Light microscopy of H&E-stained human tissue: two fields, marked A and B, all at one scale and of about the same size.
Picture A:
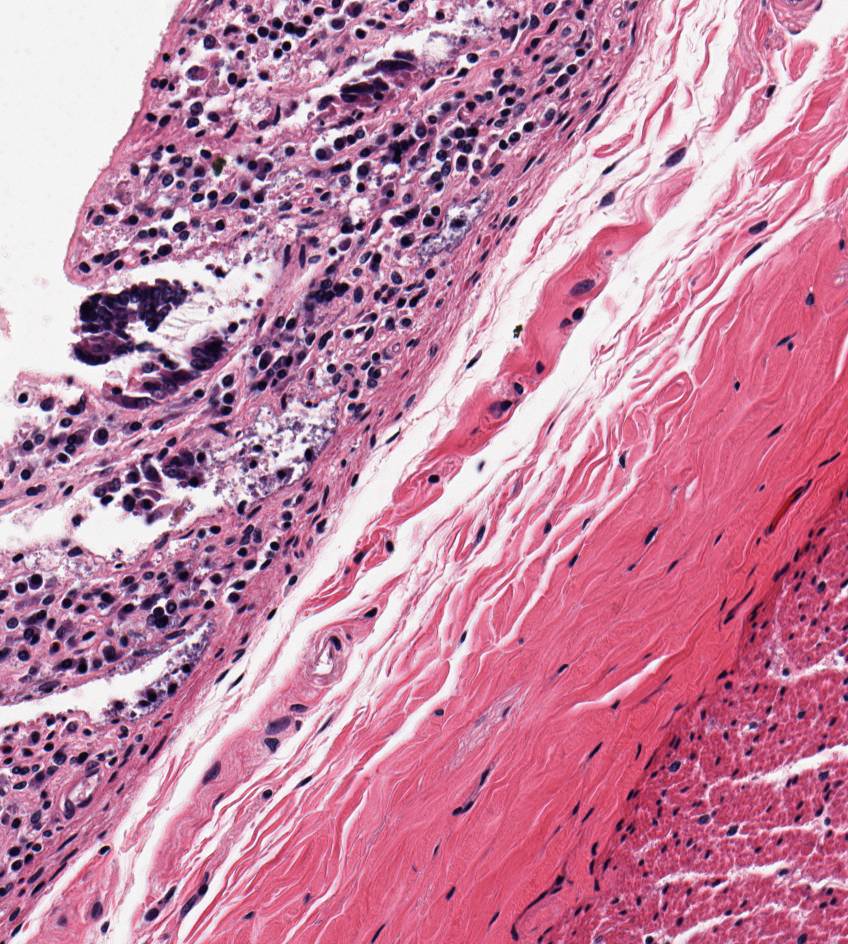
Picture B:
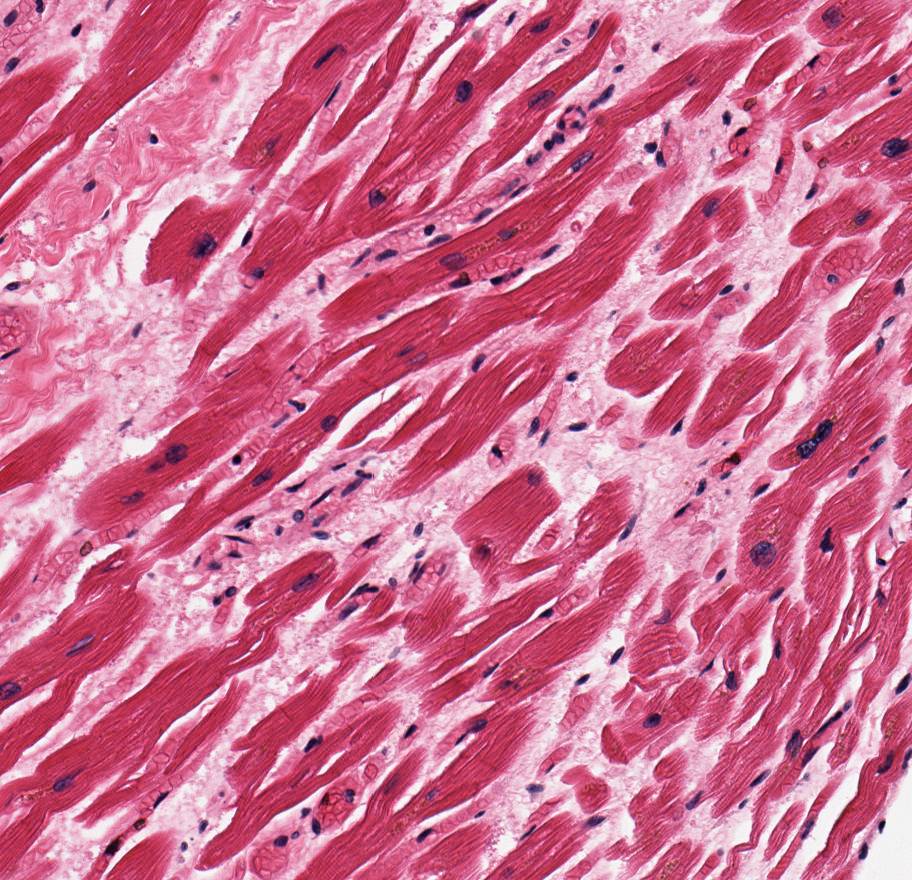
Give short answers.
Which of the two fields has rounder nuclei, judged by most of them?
A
